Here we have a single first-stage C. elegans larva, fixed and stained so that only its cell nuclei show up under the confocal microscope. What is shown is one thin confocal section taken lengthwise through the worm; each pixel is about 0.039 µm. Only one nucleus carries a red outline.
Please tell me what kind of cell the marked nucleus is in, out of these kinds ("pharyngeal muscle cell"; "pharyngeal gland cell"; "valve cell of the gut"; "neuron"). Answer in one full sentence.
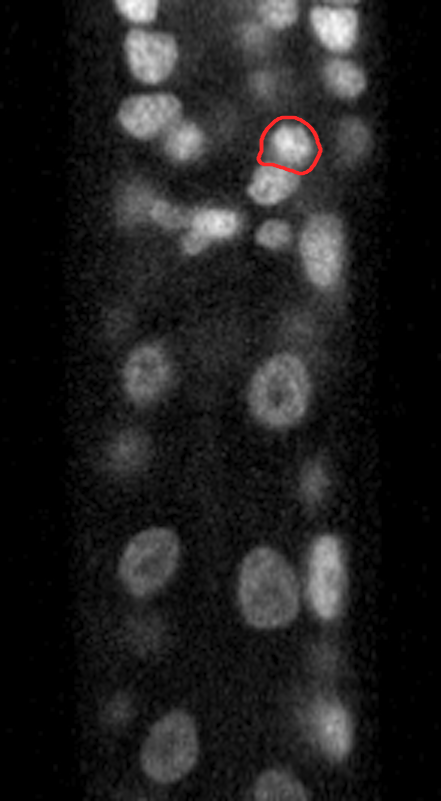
The marked cell is a pharyngeal gland cell.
